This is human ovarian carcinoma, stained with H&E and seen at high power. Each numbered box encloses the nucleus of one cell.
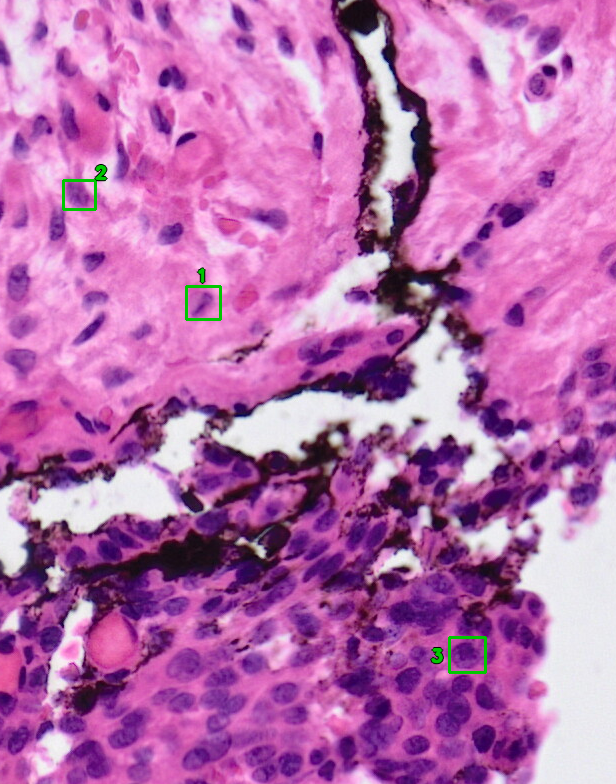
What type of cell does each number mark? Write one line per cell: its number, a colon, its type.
1: fibroblast
2: fibroblast
3: carcinoma cell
